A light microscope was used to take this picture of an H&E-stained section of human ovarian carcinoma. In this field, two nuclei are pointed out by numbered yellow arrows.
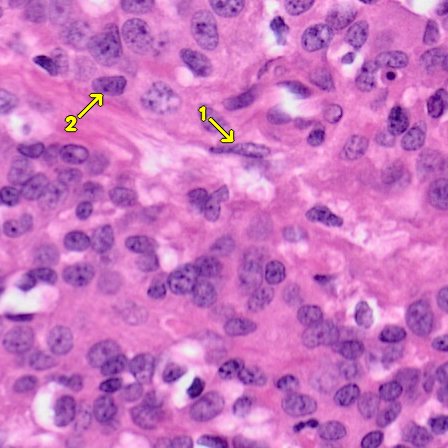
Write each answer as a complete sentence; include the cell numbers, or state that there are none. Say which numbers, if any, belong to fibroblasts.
Only the cell with number 1 is a fibroblast.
